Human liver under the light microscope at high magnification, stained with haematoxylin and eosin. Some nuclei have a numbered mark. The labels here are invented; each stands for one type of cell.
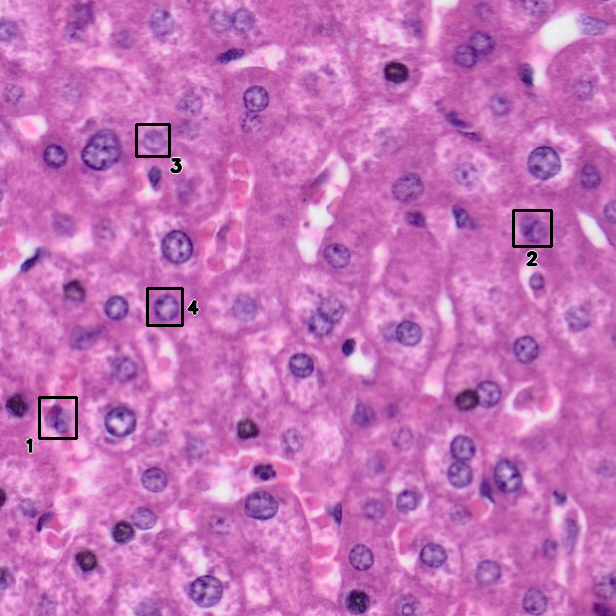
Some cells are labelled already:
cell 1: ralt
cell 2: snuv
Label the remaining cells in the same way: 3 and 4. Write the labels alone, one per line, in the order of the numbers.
snuv
snuv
